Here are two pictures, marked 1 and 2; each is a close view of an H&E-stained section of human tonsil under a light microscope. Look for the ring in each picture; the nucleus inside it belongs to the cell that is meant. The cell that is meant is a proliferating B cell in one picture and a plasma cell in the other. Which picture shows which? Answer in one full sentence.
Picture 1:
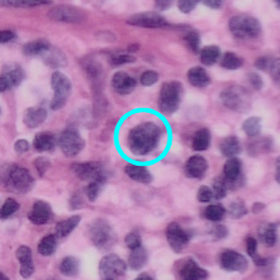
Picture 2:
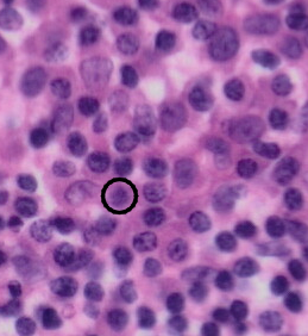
Picture 1 shows a proliferating B cell and picture 2 shows a plasma cell.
